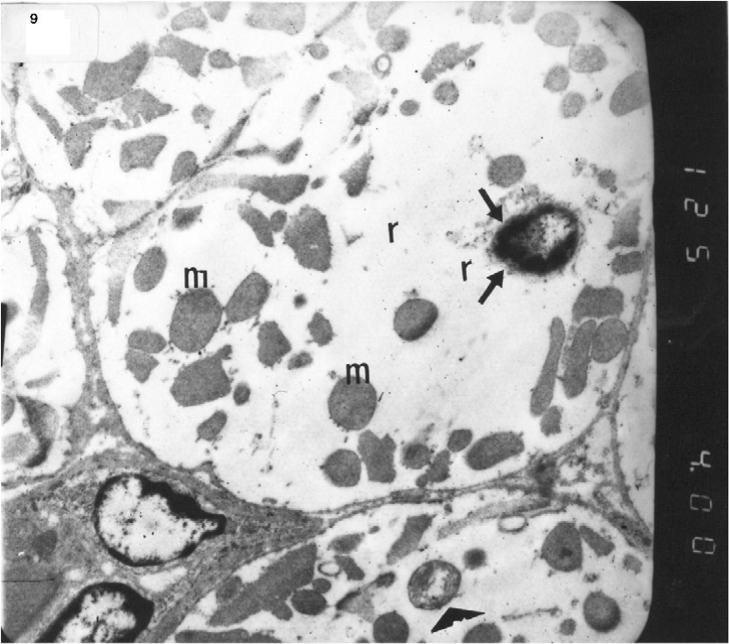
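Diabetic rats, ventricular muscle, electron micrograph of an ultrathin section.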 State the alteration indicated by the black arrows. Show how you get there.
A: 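Margination of the nuclear chromatin. The arrows point to an oval body with a thick very dark rim. Its centre is paler and granular, the dark material lying along its edge.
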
